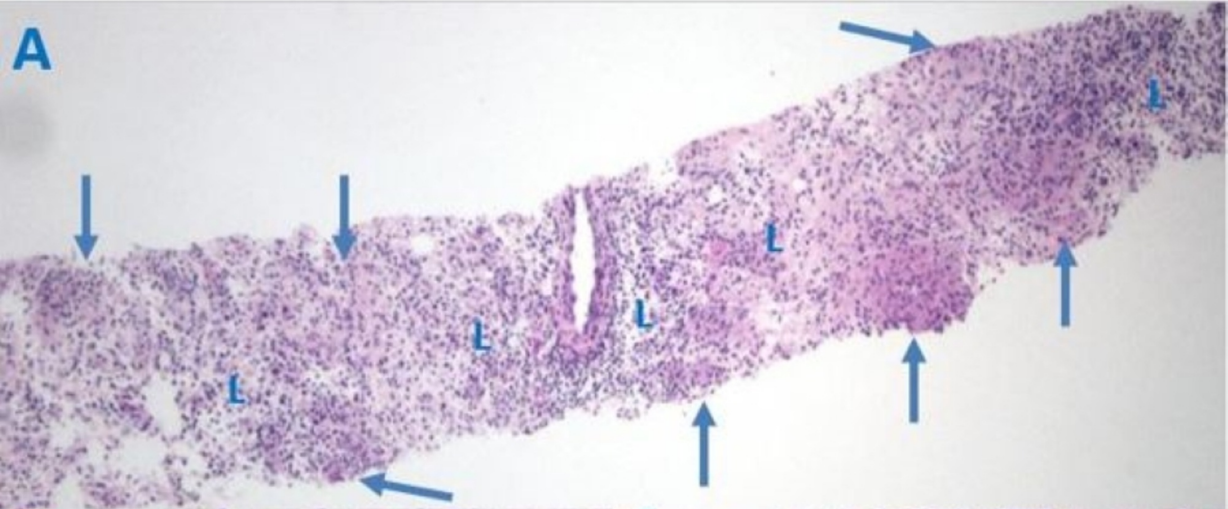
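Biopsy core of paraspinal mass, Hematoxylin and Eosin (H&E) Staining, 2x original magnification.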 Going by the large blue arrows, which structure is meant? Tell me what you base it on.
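The nodules lack a central area of amorphous necrotic debris. The nodules are surrounded by dense small dark nuclei.
Answer: non-caseating granulomas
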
